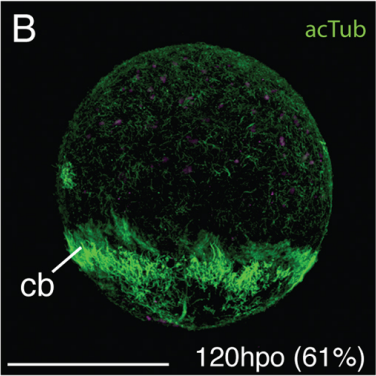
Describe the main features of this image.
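This is a whole embryo seen from the side, its surface covered by a ciliated epidermis whose cilia appear as short, scattered green filaments. Below the equator a broad, dense belt of longer, brightly stained cilia forms the ciliary band, encircling the spherical embryo.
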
